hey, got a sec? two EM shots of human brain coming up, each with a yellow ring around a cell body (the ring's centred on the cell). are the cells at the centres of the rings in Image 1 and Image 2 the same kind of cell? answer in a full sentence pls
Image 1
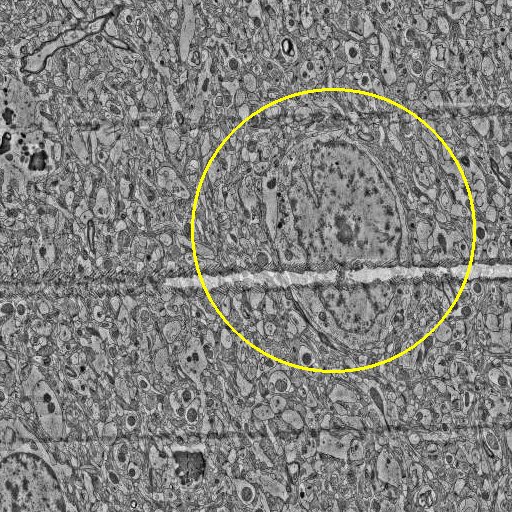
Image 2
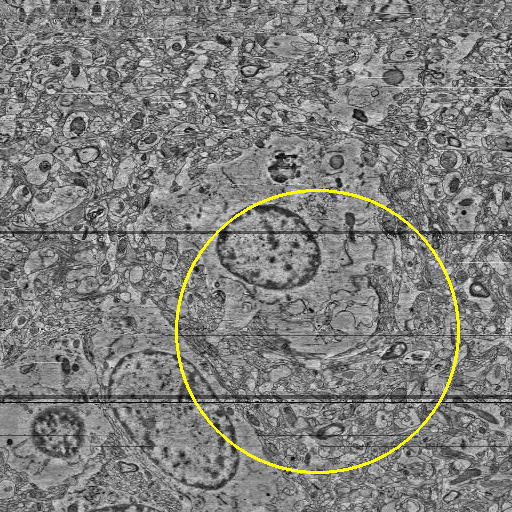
No, they are two kinds of cell.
